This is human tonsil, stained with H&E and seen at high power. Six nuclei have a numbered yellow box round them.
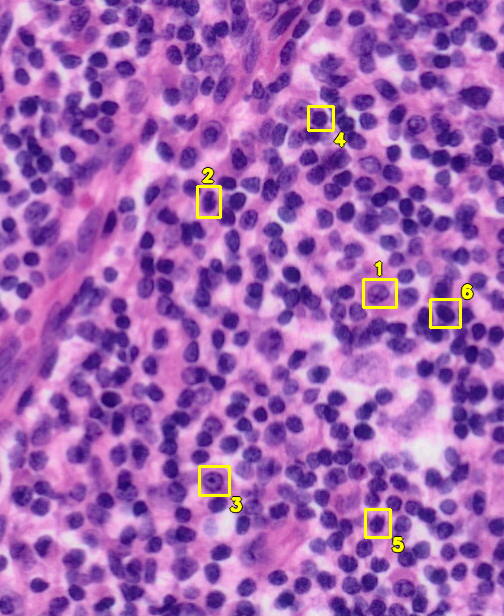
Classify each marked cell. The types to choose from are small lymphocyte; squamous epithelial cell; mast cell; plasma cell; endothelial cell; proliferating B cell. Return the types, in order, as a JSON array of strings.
["plasma cell", "small lymphocyte", "plasma cell", "small lymphocyte", "small lymphocyte", "small lymphocyte"]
